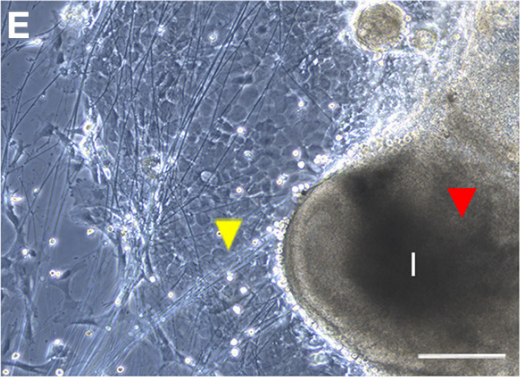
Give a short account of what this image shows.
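The explant fills the lower right as a rounded, dense mass with a bright rim and a dark, opaque interior. Many long, thin, straight fibres cross this cell layer, mostly running obliquely from top to bottom, while only a few reach toward the edge of the explant. Small rounded refractile cells and some clusters of rounded cells lie scattered over the field.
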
